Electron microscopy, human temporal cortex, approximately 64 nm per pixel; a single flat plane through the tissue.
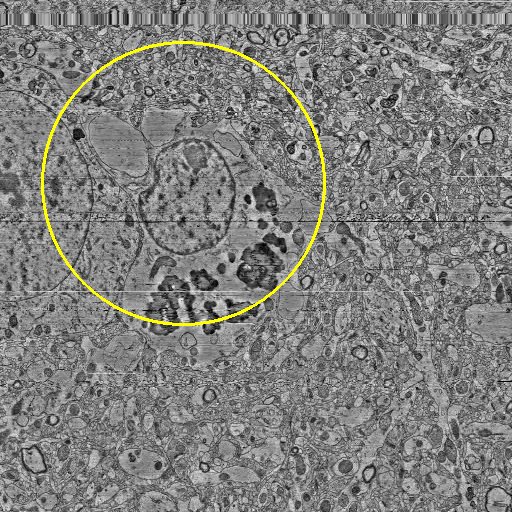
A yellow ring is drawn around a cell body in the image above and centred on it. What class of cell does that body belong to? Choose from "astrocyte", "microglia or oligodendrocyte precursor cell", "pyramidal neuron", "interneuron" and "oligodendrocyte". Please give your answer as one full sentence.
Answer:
The yellow ring above is centred on the cell body of an astrocyte.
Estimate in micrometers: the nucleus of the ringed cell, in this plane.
Roughly 8 by 6 micrometres in this plane, for the nucleus of the ringed cell.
